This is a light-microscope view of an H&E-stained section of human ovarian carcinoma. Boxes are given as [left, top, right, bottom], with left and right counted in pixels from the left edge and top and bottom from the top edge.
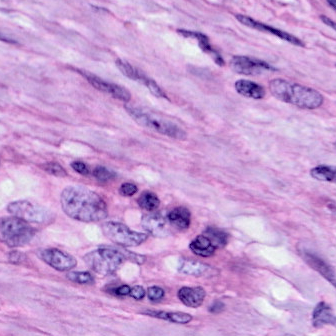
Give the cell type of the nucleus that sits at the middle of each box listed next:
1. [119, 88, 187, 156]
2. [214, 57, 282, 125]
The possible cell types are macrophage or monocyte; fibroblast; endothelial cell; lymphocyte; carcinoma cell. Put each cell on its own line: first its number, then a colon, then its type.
1: fibroblast
2: lymphocyte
